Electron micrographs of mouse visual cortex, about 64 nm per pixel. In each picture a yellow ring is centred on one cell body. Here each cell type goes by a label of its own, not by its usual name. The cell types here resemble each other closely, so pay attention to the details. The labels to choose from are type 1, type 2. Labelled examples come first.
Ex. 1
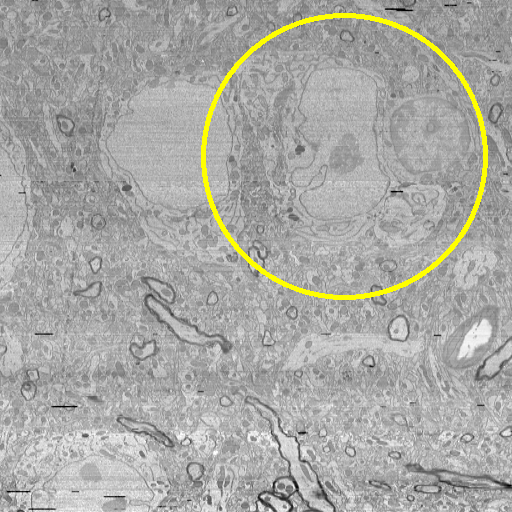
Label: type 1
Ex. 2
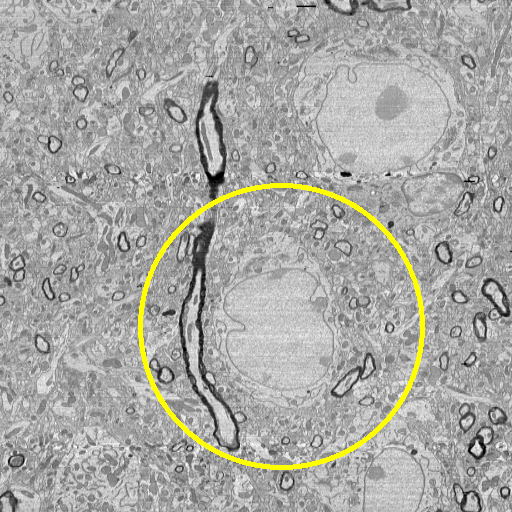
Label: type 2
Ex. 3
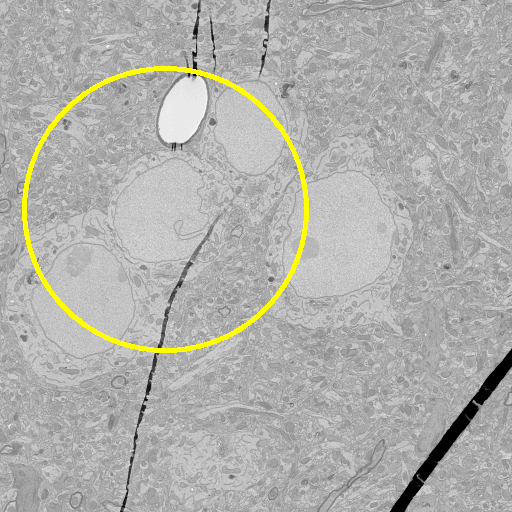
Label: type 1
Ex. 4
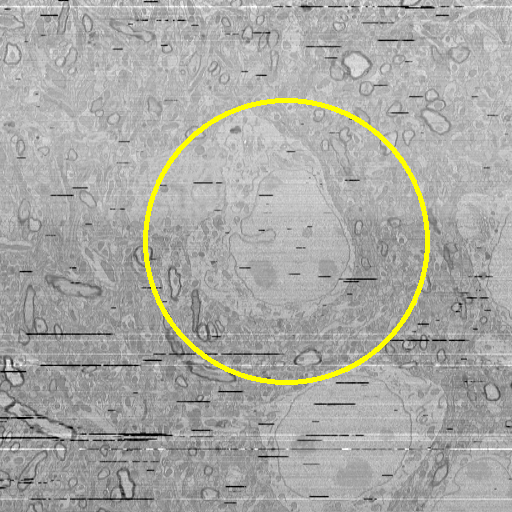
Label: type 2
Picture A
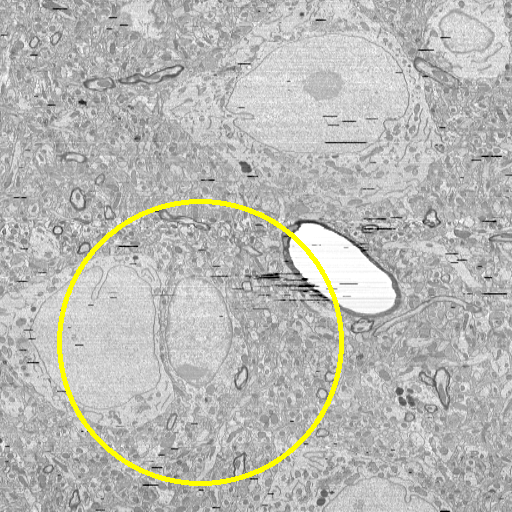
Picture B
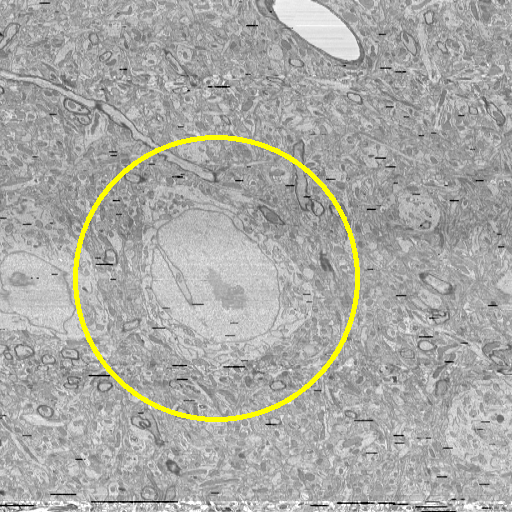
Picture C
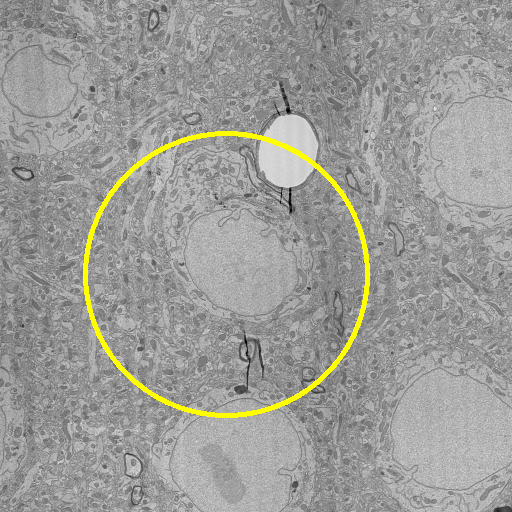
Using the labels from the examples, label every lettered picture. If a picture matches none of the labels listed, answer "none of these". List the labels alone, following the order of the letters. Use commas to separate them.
none of these, type 1, type 1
